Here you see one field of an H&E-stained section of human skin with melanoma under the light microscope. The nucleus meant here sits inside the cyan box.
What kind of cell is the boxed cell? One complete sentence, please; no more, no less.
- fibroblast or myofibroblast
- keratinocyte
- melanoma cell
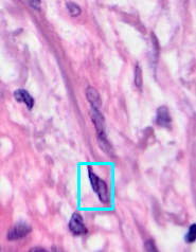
As a matter of cell type, the boxed cell is a fibroblast or myofibroblast.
